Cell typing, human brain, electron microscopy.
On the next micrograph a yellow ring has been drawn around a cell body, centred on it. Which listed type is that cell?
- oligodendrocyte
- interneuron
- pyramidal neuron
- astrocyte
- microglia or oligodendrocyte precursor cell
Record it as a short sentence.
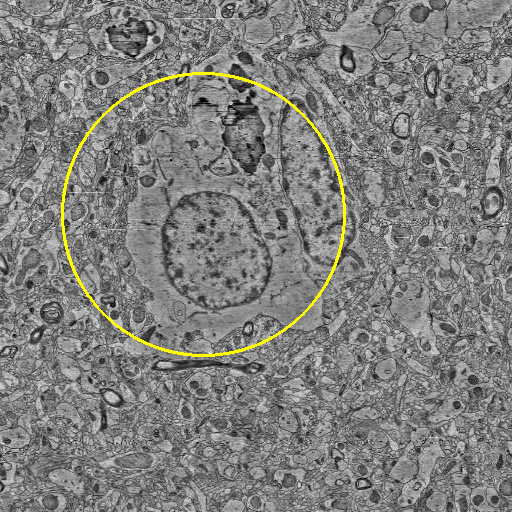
The cell body in the ring's centre belongs to an astrocyte.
